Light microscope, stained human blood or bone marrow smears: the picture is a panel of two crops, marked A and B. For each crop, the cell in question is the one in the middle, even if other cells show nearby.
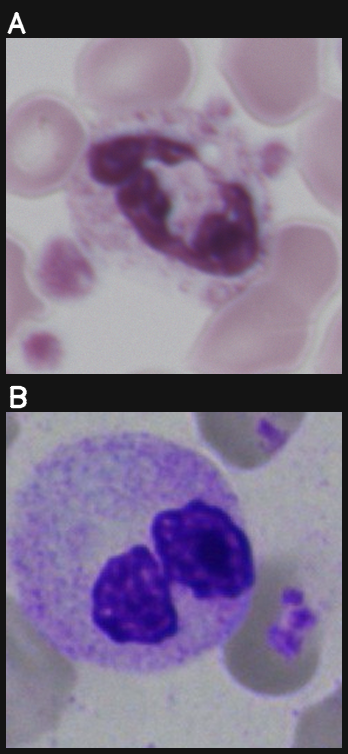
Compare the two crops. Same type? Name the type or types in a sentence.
Yes, the cells at the centre of the two crops are both segmented neutrophils.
